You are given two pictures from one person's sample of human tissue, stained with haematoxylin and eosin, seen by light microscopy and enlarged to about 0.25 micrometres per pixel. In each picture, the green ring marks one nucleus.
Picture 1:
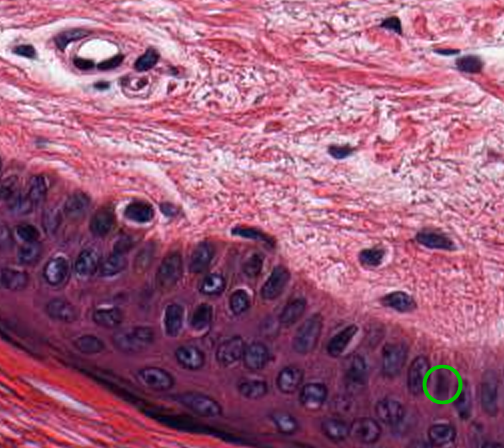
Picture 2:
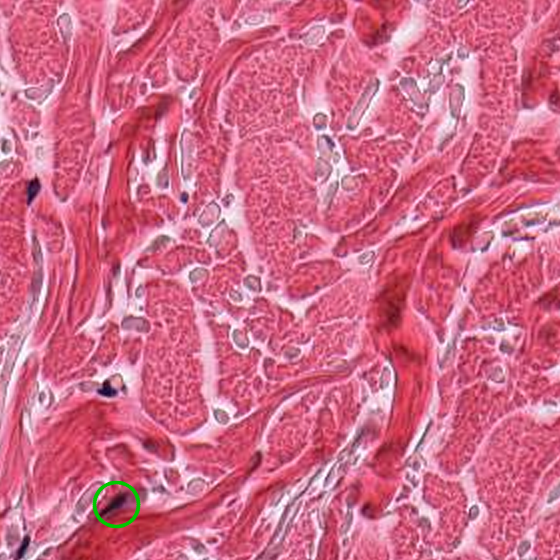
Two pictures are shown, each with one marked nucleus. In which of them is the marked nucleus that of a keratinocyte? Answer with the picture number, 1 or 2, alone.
1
